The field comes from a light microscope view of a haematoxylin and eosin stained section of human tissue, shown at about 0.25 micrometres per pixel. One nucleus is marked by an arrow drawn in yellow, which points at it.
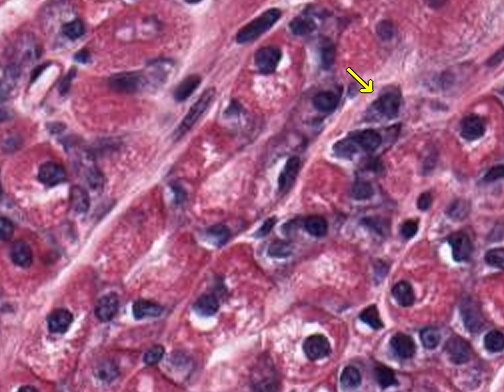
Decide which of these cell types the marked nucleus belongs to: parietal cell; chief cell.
chief cell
